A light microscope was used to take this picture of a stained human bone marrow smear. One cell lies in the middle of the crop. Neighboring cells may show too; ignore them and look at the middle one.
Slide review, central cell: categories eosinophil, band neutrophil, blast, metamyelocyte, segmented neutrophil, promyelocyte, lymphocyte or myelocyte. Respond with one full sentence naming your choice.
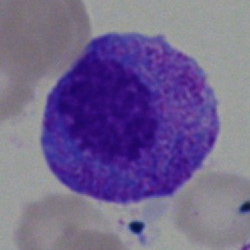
In the centre of this crop there is a promyelocyte.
